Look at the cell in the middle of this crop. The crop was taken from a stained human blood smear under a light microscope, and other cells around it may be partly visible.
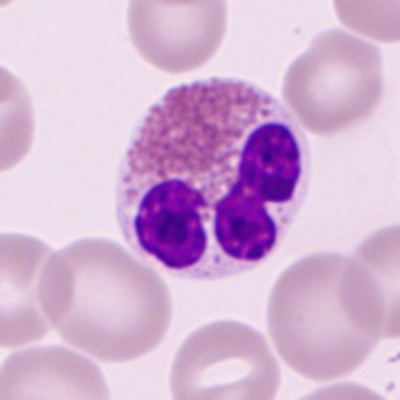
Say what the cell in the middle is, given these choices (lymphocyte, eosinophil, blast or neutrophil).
eosinophil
